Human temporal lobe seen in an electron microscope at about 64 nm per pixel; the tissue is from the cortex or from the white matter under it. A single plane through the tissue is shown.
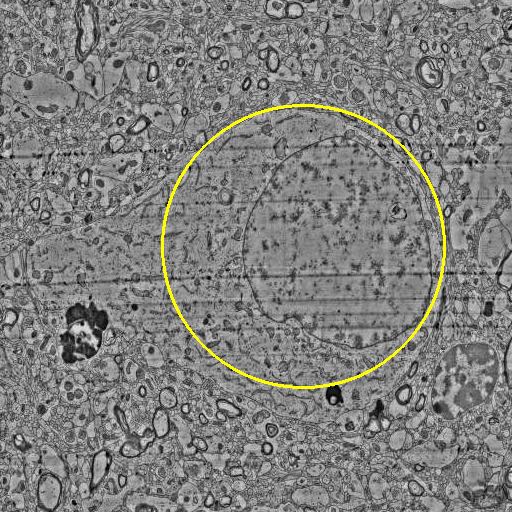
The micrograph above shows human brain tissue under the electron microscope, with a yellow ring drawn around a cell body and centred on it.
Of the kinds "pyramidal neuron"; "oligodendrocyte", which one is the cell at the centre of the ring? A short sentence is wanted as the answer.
The one at the centre of the ring is a pyramidal neuron.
